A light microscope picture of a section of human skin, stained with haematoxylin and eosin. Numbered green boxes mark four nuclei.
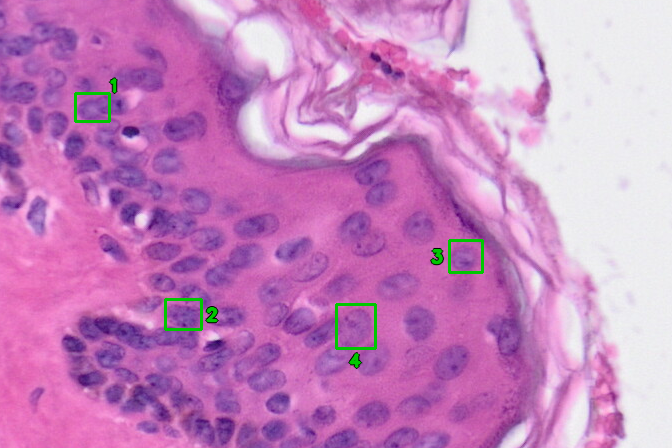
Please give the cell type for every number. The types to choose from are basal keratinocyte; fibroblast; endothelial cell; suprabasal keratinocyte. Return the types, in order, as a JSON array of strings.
["suprabasal keratinocyte", "basal keratinocyte", "suprabasal keratinocyte", "suprabasal keratinocyte"]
